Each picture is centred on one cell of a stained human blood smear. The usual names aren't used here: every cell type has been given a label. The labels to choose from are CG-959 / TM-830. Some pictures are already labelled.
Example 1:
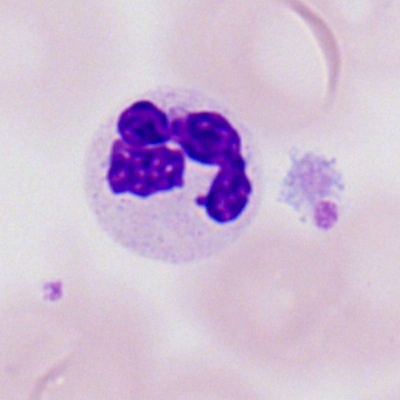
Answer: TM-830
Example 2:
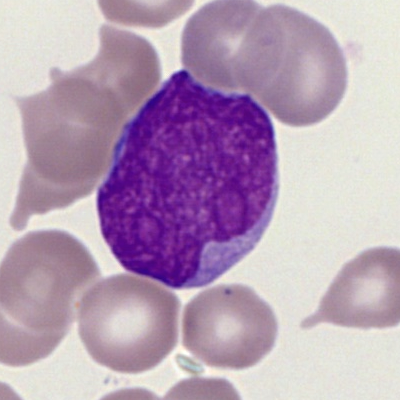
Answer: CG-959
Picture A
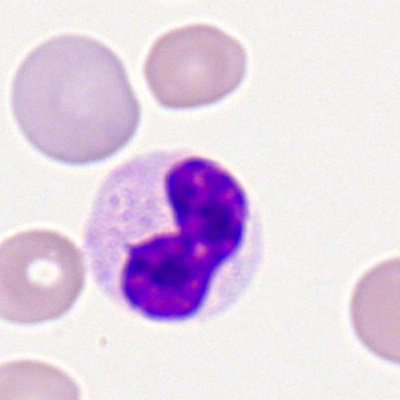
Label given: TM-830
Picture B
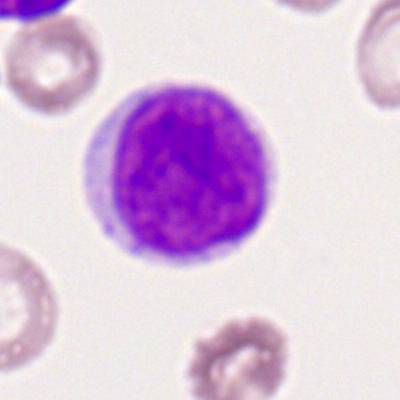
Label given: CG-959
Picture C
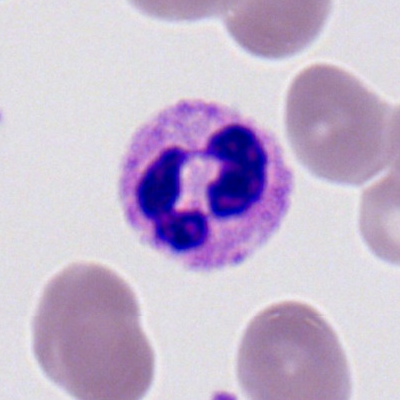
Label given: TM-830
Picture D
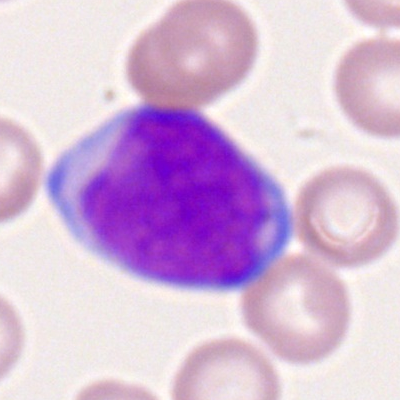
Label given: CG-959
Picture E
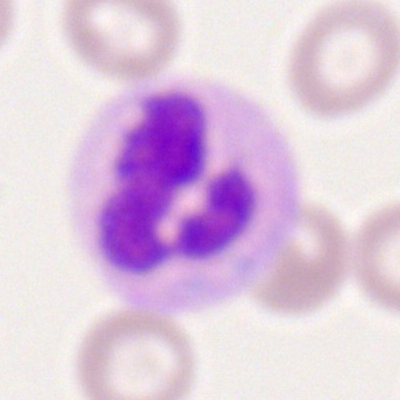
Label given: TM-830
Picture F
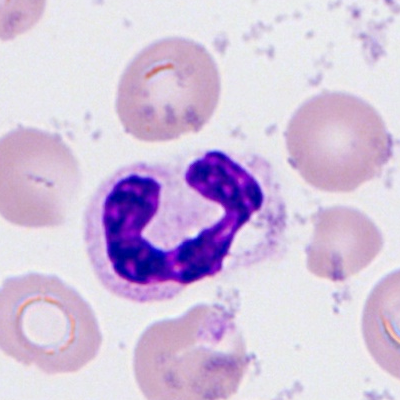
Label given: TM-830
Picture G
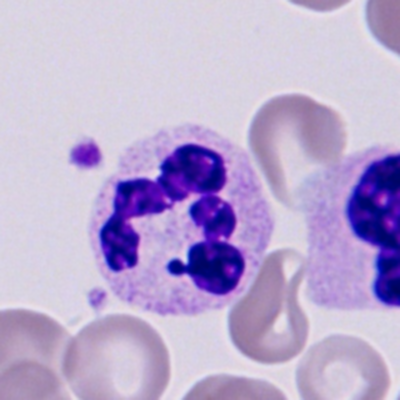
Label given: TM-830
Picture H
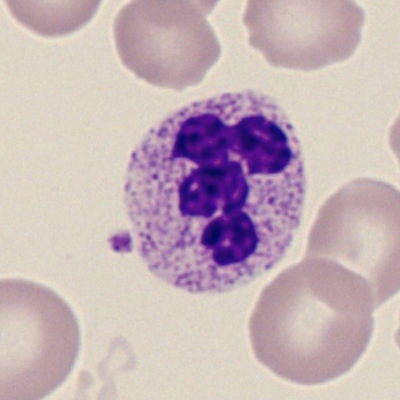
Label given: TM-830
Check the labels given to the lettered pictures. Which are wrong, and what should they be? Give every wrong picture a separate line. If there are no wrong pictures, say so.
All labels are correct.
